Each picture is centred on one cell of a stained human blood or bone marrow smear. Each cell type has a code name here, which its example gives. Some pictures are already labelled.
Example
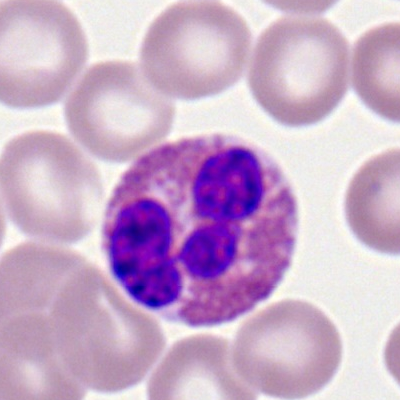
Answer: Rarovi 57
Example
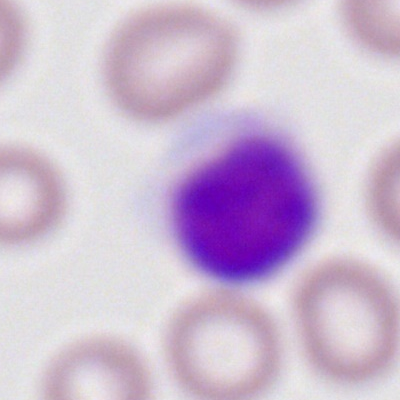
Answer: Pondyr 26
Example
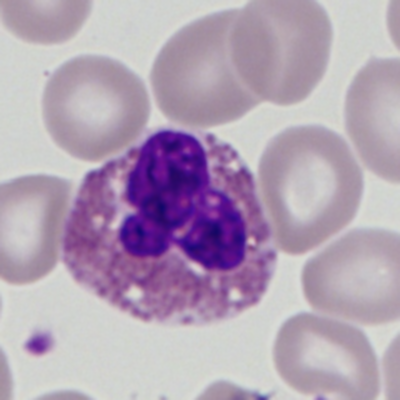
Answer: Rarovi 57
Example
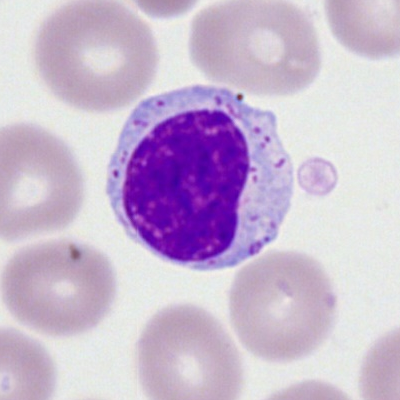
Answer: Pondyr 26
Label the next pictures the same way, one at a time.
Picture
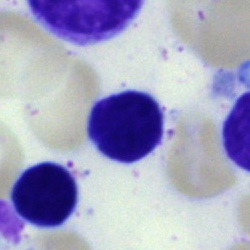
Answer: Pondyr 26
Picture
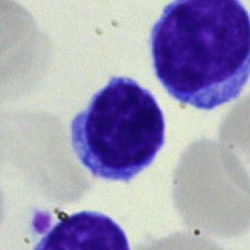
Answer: Pondyr 26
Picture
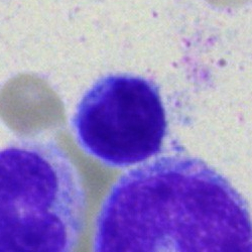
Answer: Pondyr 26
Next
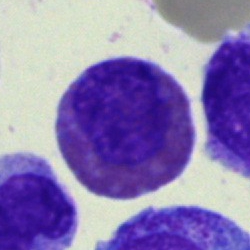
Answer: Rarovi 57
